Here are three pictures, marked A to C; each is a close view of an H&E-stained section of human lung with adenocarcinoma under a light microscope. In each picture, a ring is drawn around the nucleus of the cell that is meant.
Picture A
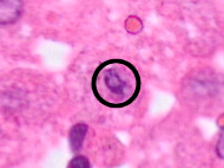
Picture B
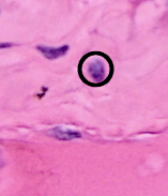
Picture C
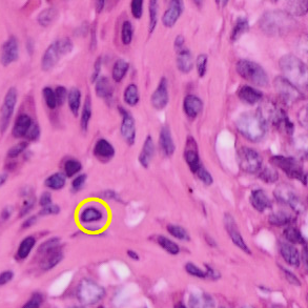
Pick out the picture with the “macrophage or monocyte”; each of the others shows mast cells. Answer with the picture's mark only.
A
